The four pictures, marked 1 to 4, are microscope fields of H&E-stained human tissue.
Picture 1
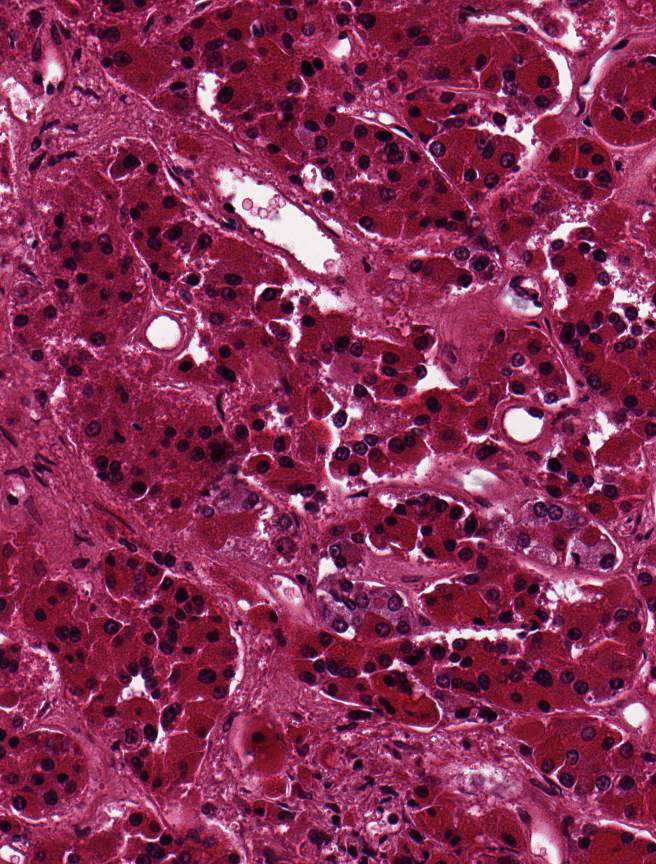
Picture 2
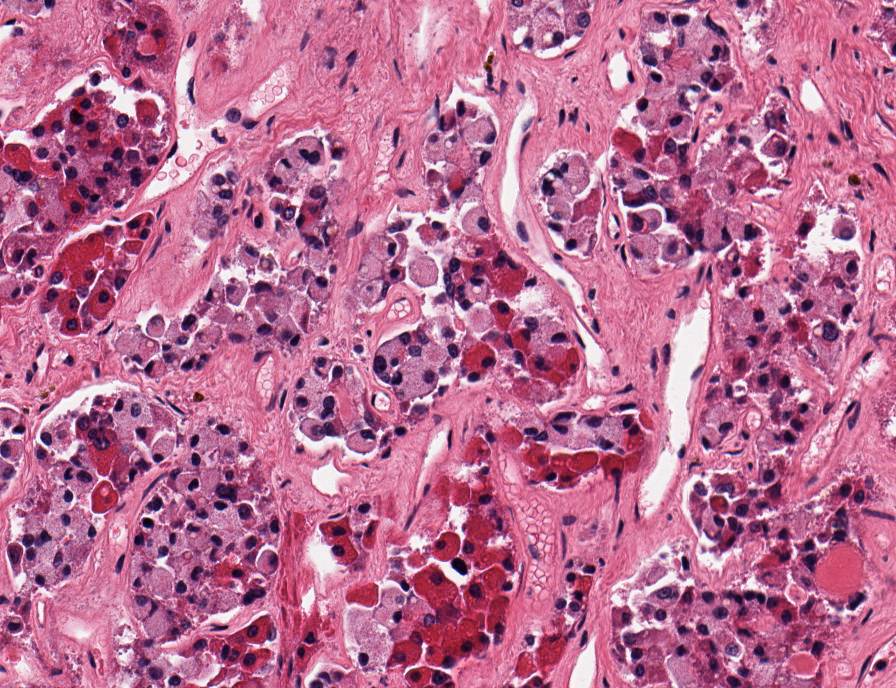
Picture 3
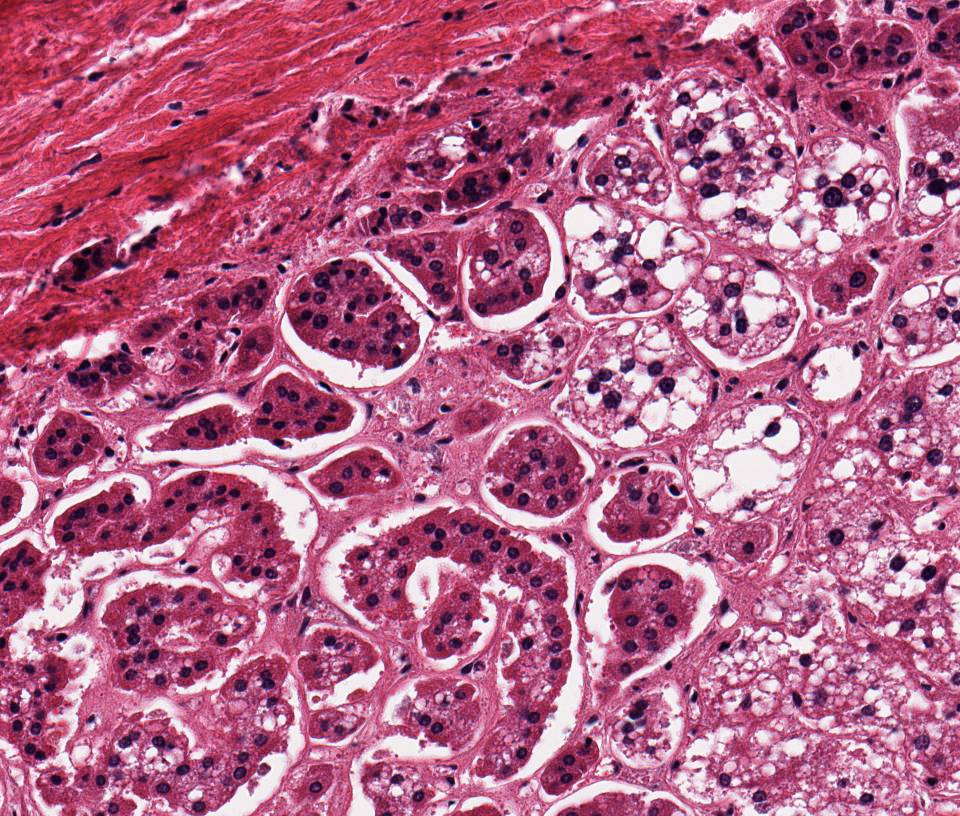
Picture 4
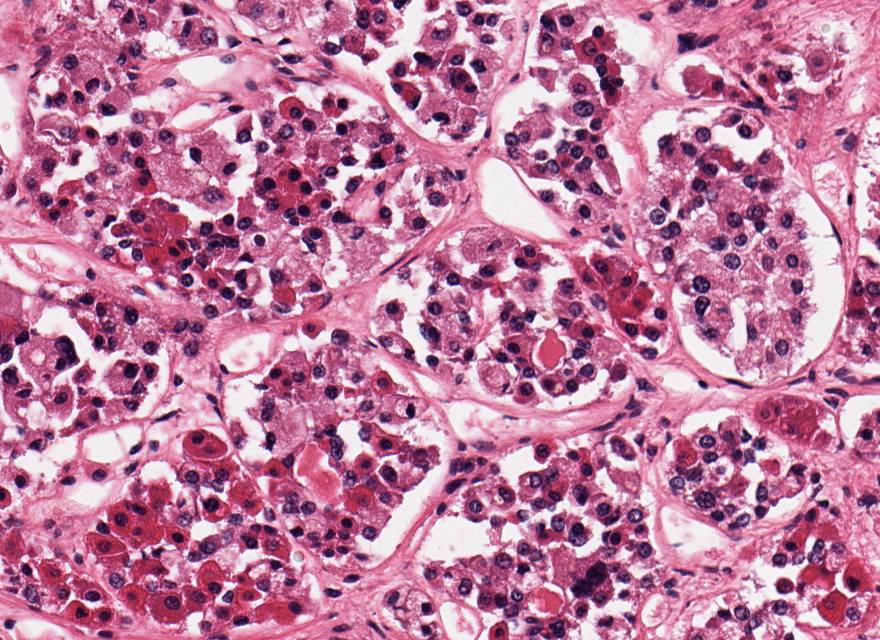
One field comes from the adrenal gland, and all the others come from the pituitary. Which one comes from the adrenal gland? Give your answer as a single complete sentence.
Picture 3 comes from the adrenal gland.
